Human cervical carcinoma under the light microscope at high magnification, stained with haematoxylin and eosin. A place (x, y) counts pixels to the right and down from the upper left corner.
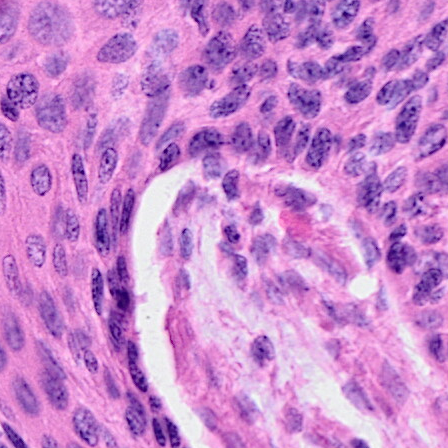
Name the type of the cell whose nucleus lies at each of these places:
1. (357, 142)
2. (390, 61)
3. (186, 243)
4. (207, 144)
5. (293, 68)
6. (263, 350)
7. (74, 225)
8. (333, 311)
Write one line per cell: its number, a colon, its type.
1: squamous carcinoma cell
2: squamous carcinoma cell
3: fibroblast
4: squamous carcinoma cell
5: squamous carcinoma cell
6: macrophage or monocyte
7: squamous carcinoma cell
8: fibroblast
